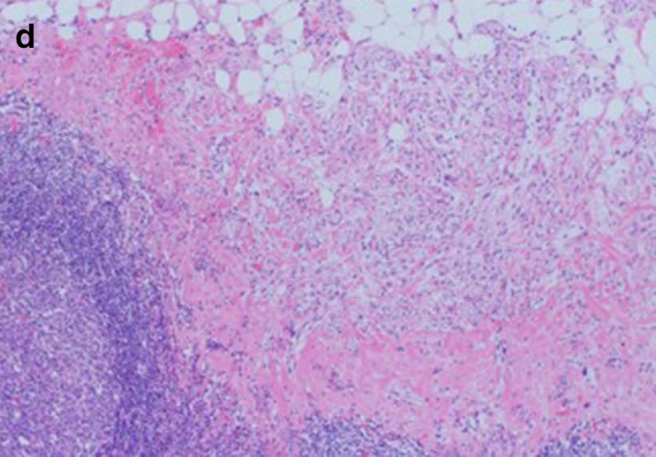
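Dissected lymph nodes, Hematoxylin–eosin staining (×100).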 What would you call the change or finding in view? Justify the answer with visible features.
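Densely packed small dark lymphocytes occupy the left side. A pinker area of larger, paler, irregular cells lies beside the lymphoid tissue. Fat cells appear at the top edge. On this evidence: metastasis.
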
